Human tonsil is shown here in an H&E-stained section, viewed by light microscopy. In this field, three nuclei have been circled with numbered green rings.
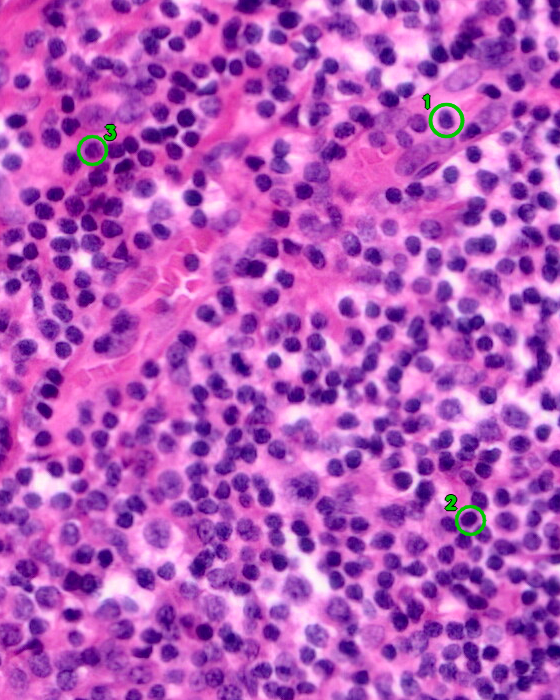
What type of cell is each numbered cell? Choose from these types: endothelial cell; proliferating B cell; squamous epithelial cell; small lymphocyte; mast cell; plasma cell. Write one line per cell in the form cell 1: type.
cell 1: endothelial cell
cell 2: small lymphocyte
cell 3: endothelial cell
